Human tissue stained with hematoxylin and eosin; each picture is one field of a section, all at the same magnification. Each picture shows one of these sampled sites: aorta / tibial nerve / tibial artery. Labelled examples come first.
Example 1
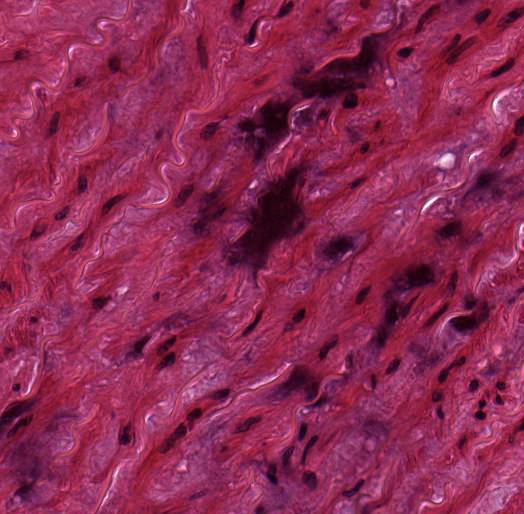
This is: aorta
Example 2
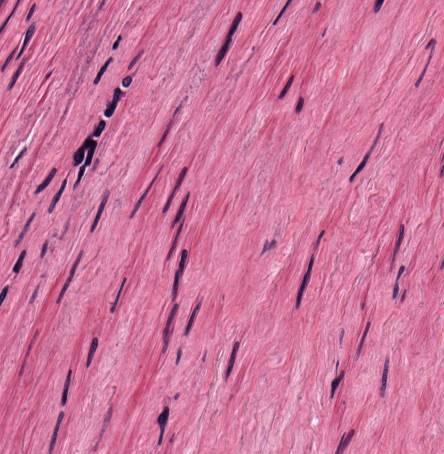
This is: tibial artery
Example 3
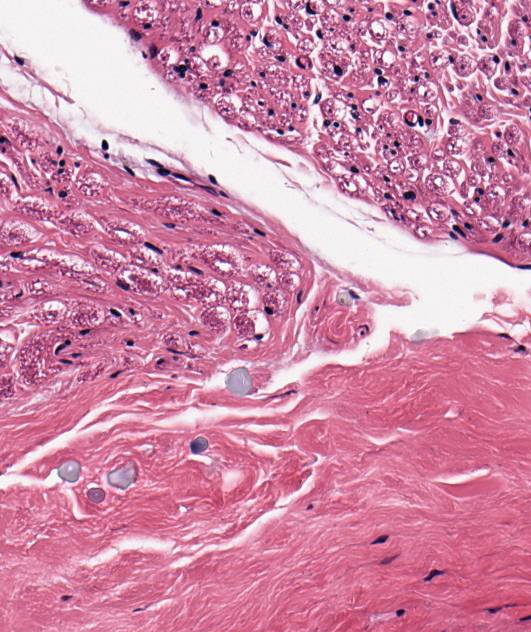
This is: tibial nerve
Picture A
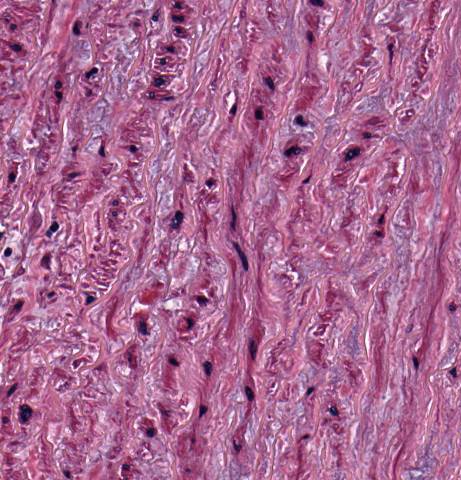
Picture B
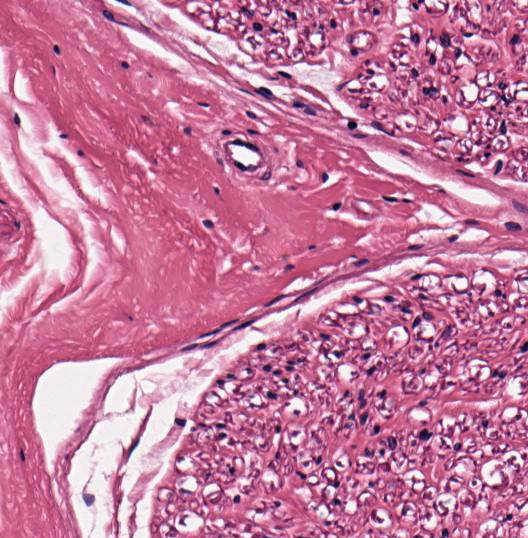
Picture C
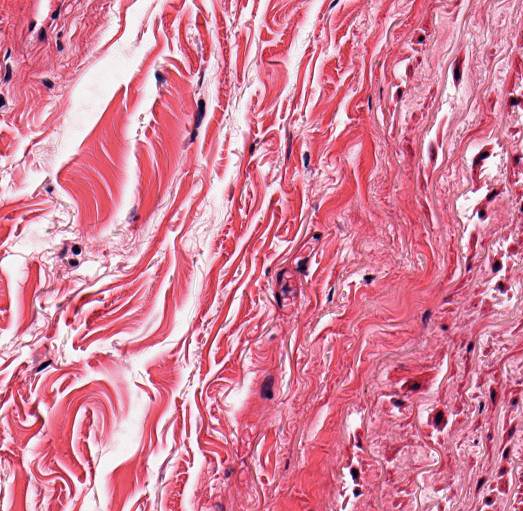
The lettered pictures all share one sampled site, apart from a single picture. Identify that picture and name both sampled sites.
Odd one out: B (tibial nerve). The rest: aorta.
